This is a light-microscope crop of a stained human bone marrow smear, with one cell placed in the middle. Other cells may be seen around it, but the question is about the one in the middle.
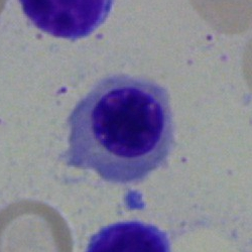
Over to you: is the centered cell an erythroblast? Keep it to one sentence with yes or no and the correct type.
Yes, the cell positioned in the middle is an erythroblast.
